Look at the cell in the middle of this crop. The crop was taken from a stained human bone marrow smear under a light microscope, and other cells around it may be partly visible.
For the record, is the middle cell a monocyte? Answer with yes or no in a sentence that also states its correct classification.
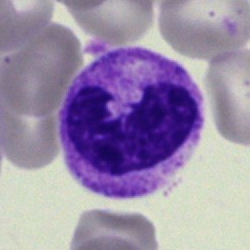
No, looking at the central cell, it is a band neutrophil rather than a monocyte.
